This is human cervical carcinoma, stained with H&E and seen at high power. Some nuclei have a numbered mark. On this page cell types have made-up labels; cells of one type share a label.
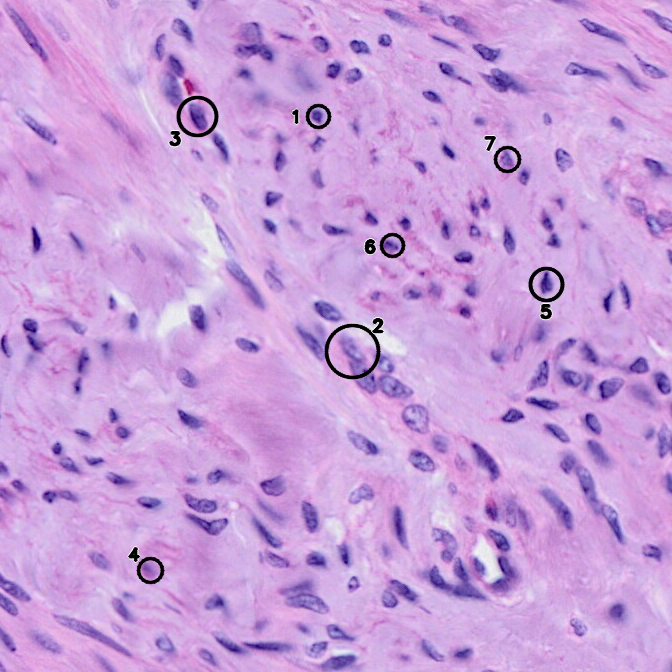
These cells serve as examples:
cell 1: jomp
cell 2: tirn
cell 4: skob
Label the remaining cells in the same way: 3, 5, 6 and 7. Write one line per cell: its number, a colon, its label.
3: tirn
5: jomp
6: skob
7: skob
